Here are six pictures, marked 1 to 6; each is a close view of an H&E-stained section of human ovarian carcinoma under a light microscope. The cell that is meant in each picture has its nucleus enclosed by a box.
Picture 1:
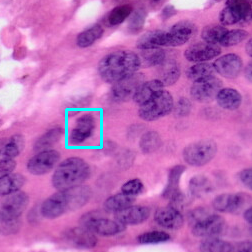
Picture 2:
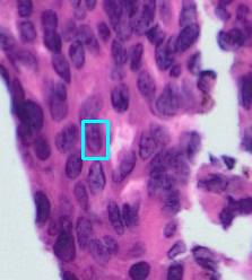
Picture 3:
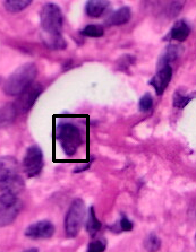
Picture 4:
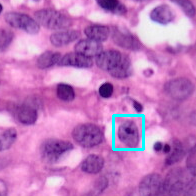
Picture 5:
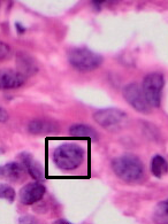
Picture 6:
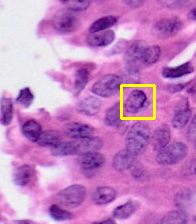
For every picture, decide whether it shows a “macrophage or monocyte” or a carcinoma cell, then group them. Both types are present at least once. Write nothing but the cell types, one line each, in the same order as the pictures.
macrophage or monocyte
carcinoma cell
carcinoma cell
macrophage or monocyte
macrophage or monocyte
macrophage or monocyte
